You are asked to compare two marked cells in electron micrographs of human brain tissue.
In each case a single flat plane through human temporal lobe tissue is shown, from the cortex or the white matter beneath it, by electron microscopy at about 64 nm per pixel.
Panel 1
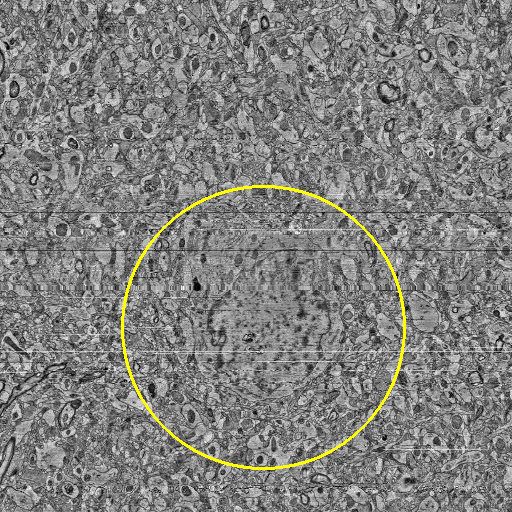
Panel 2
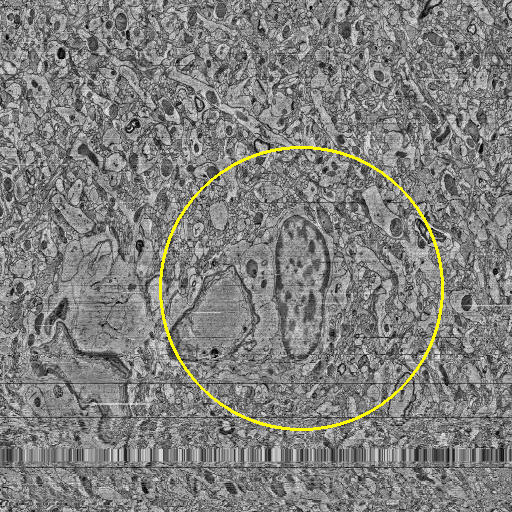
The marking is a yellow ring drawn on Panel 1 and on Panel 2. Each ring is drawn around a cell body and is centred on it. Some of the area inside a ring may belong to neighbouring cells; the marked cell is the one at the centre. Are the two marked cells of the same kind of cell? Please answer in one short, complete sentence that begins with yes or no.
No, the two marked cells are of two kinds.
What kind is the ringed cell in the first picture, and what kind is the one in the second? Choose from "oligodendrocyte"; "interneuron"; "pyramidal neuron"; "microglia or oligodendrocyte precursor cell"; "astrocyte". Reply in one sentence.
The first cell is an interneuron; the second is a microglial cell or oligodendrocyte precursor cell.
